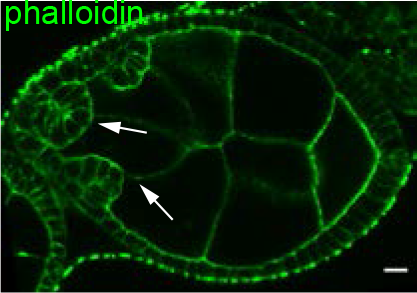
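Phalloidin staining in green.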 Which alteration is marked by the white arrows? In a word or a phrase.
Invasions of the follicle cell epithelium into the adjacent germ line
